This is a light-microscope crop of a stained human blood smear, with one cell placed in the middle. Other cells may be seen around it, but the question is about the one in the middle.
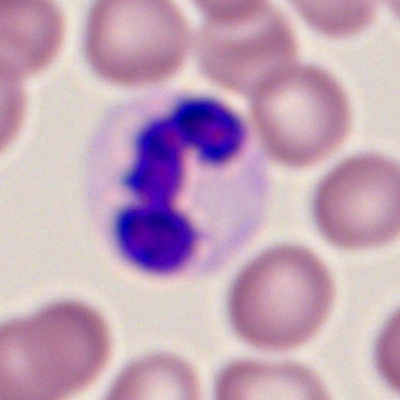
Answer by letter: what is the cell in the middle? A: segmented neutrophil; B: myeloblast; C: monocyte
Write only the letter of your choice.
A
